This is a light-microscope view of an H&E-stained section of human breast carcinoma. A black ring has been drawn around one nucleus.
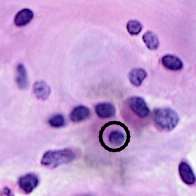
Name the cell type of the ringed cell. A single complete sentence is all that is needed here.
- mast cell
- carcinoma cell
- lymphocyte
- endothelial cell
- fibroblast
Considered by cell type, the ringed cell is a lymphocyte.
